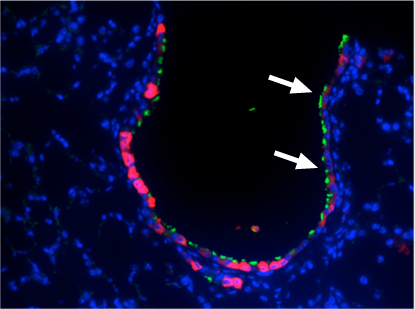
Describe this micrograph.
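Bright red, rounded cells line the lower and left part of the airway wall, while green signal forms a thin line along the luminal surface on the right. The epithelium there appears thin, with flattened blue nuclei. Surrounding tissue contains many scattered blue nuclei.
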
